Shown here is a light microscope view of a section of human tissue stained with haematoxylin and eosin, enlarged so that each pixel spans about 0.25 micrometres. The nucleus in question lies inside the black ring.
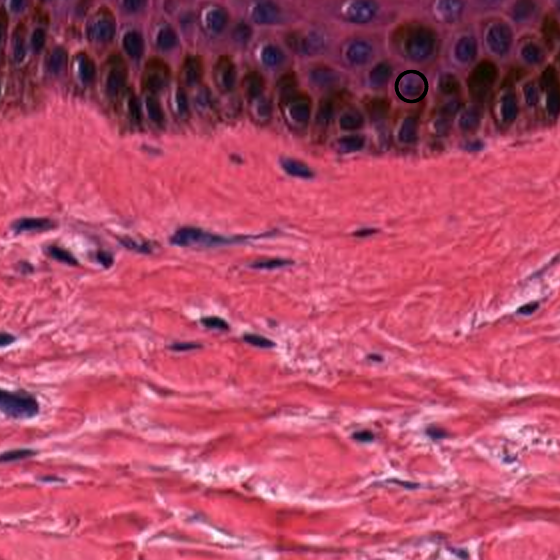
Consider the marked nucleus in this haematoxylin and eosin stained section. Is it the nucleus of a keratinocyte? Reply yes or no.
yes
